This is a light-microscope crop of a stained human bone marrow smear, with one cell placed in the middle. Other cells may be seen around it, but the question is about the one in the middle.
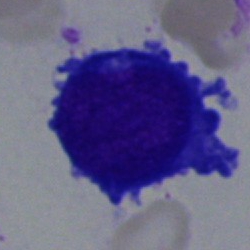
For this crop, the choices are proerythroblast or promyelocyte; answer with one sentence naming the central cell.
Answering briefly, the cell in the middle is a proerythroblast.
